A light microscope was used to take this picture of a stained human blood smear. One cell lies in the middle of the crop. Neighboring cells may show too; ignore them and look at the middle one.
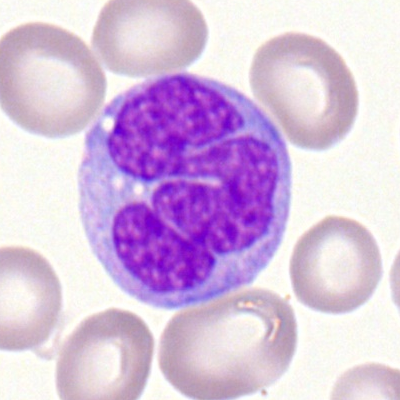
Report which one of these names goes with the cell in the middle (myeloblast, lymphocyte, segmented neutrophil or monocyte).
monocyte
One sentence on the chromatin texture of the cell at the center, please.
The chromatin of this one is coarsely clumped.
